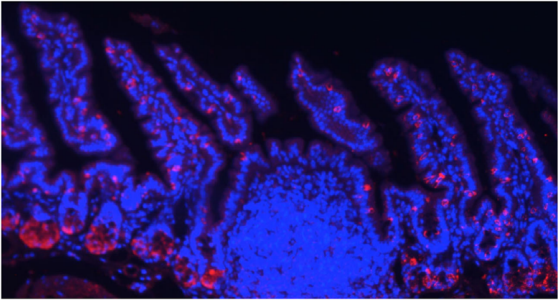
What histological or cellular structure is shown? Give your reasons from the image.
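Long finger-like projections rise from a common base. Each projection is lined by a dense row of blue nuclei around a narrow core. That points to this answer: intestinal villi.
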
